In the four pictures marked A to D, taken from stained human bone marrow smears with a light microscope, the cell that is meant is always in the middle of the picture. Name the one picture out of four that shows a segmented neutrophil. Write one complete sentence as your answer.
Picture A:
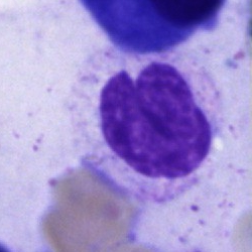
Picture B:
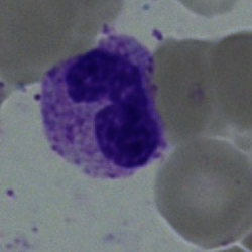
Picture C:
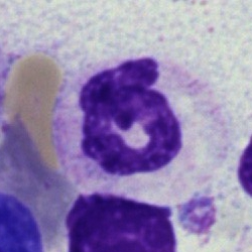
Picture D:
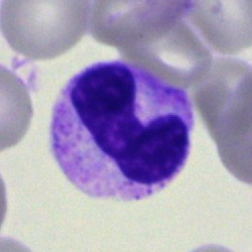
Picture C shows the segmented neutrophil.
